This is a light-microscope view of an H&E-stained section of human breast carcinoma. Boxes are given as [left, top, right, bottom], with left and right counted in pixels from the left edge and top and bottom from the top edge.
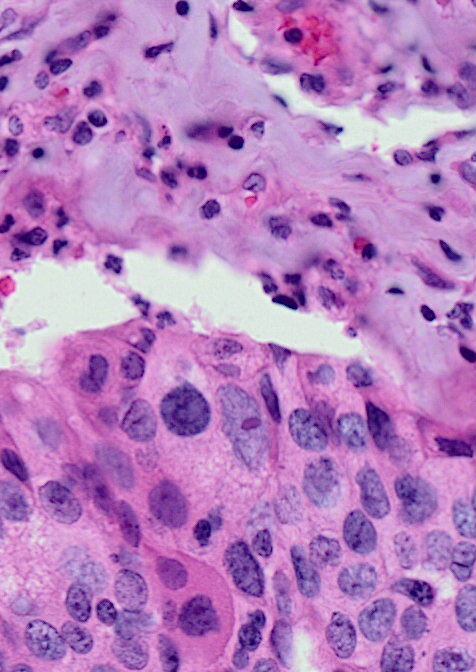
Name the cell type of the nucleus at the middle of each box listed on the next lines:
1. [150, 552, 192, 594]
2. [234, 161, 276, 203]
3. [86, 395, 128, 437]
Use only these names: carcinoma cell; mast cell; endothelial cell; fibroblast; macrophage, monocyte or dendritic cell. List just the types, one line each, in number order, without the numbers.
carcinoma cell
endothelial cell
carcinoma cell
